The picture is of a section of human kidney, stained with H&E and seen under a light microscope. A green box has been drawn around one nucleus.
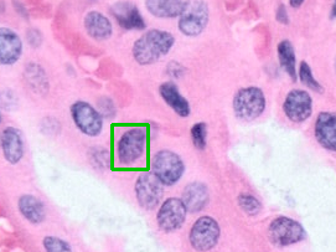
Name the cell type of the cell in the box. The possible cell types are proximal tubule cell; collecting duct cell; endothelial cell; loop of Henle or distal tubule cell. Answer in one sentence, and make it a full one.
At the level of cell identity, the cell in the box is a collecting duct cell.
